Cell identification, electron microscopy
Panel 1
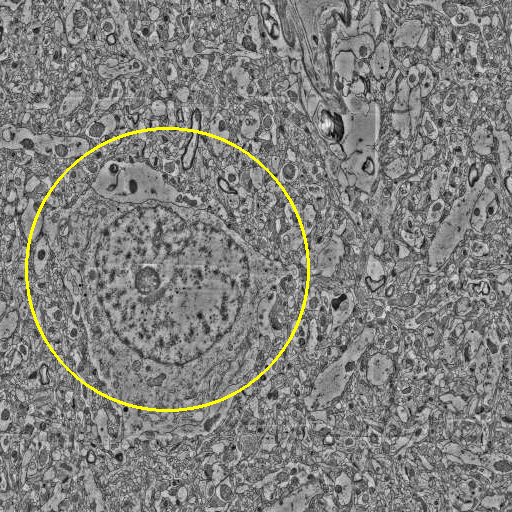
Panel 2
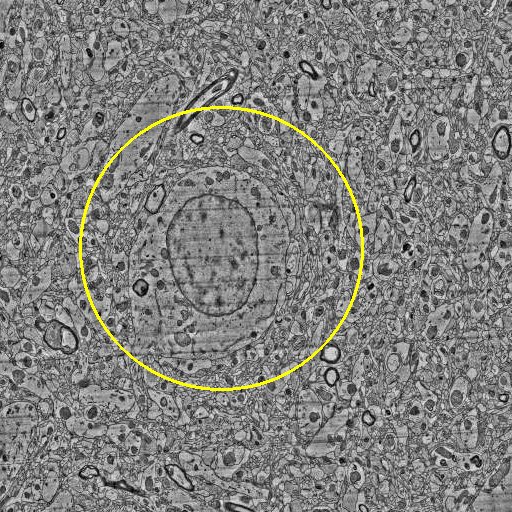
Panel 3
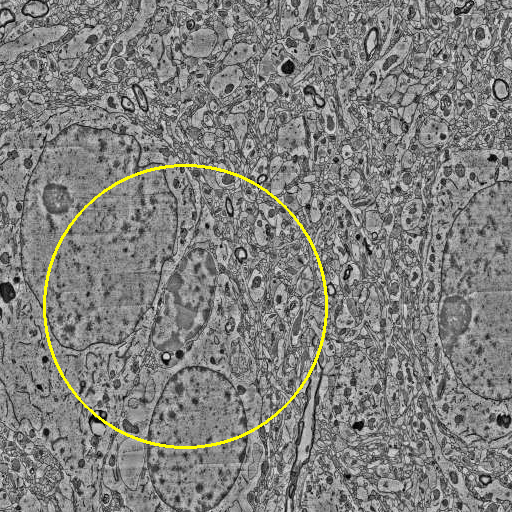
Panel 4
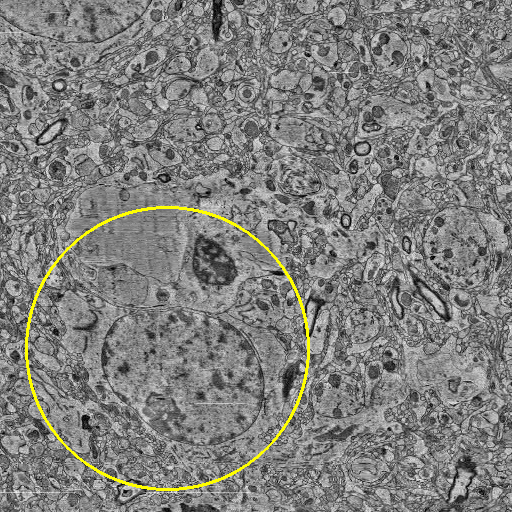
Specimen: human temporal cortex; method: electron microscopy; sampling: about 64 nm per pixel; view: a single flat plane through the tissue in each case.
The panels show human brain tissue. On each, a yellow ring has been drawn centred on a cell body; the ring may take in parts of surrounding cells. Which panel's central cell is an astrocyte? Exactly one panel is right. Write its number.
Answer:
4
